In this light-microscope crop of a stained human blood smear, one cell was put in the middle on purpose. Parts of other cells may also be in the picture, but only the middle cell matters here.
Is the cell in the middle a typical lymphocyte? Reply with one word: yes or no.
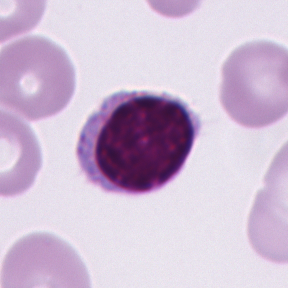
yes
